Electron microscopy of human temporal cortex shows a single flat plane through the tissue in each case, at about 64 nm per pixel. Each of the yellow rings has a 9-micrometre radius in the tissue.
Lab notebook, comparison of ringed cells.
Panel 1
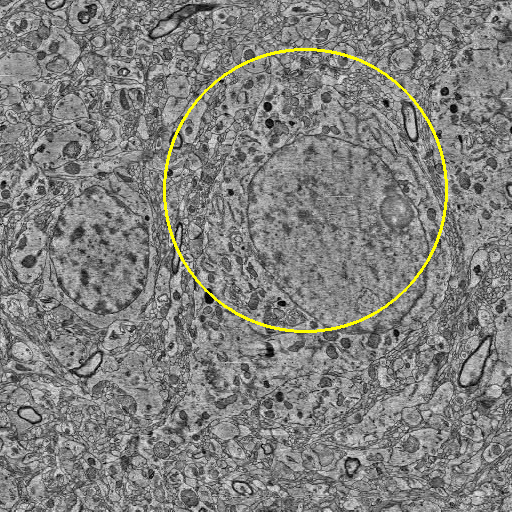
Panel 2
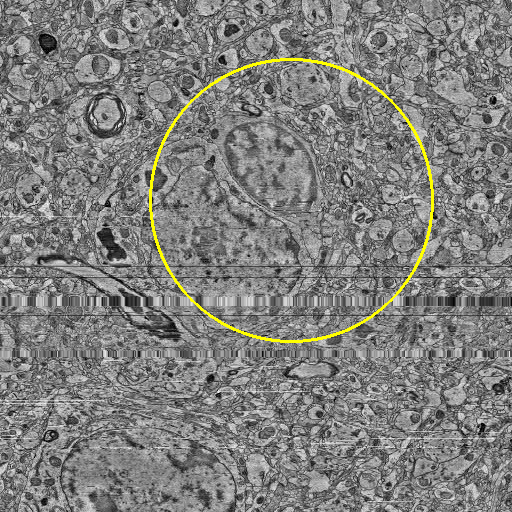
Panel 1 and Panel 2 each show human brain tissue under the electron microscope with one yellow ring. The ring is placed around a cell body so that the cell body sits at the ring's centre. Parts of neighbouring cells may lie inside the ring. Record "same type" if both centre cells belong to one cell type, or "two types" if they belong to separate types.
two types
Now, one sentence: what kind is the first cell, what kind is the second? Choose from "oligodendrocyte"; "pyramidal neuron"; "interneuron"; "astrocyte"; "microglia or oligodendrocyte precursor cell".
The first picture has an interneuron at its ring centre, and the second has an oligodendrocyte.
